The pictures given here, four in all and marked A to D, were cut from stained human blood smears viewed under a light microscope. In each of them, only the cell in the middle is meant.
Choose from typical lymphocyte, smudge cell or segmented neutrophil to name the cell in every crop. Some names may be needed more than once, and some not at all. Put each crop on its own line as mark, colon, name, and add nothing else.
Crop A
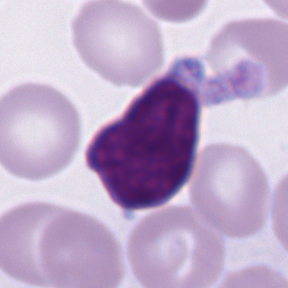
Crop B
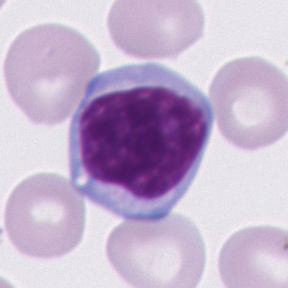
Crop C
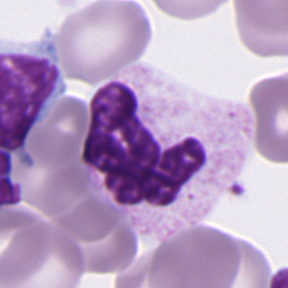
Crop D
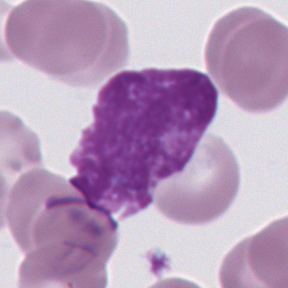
A: typical lymphocyte
B: typical lymphocyte
C: segmented neutrophil
D: smudge cell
